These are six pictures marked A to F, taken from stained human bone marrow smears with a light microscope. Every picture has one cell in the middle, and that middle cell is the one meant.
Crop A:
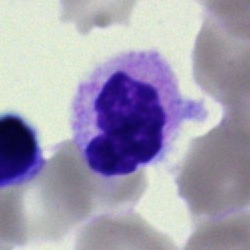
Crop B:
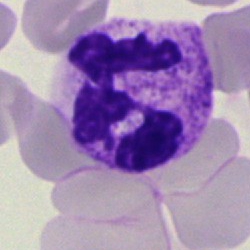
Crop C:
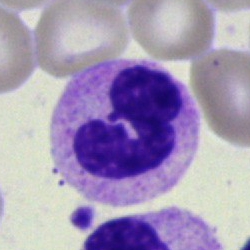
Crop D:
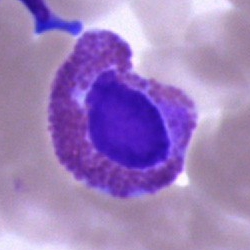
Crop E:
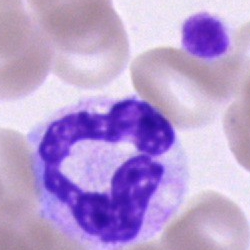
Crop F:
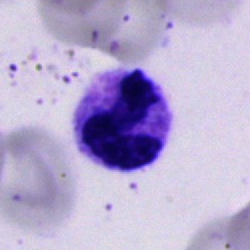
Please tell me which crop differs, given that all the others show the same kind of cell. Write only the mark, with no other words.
D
